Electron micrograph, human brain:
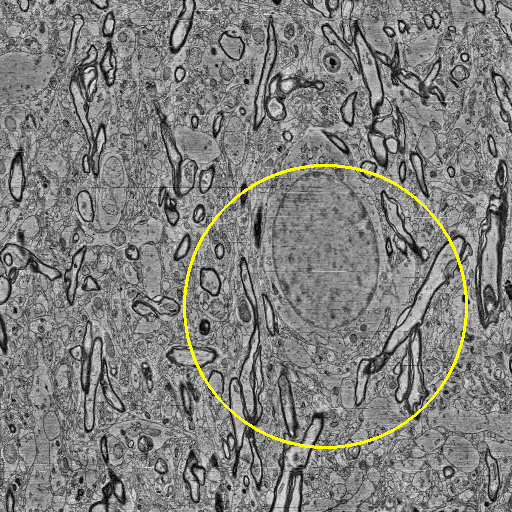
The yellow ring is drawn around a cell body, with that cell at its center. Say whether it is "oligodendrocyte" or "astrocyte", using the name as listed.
astrocyte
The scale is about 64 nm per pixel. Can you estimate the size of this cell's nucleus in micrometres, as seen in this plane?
The nucleus is approximately 10 micrometres long but only about 7 wide, clearly longer than it is wide in this plane.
